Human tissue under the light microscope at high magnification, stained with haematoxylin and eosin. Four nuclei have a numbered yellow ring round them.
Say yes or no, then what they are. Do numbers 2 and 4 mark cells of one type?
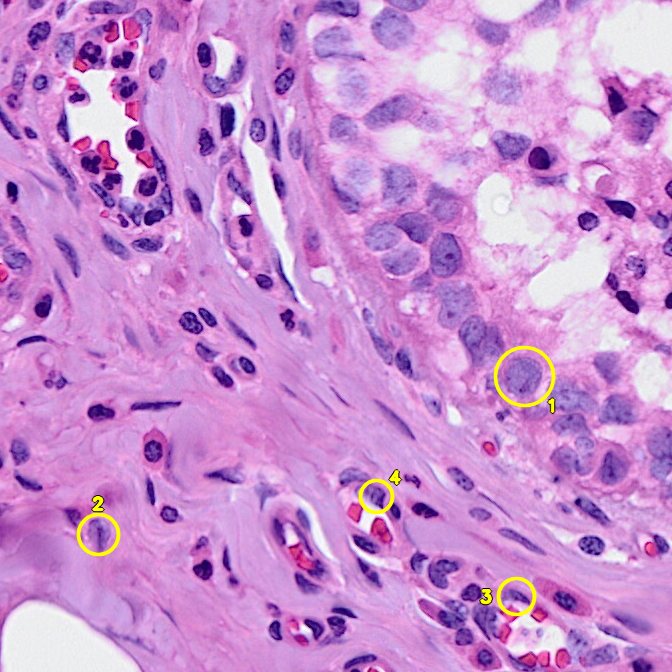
No, here cell 2 is a fibroblast, whereas cell 4 is an endothelial cell.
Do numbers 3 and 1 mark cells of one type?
No; cell 3 is an endothelial cell, and cell 1 is a carcinoma cell.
